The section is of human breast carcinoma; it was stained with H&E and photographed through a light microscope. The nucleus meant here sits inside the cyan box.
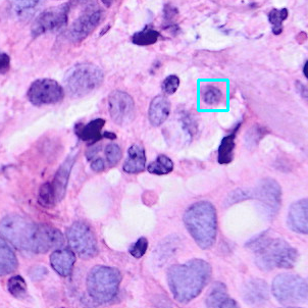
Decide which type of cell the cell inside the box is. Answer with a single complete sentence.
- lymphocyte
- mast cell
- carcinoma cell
In the tissue under study, the cell inside the box is a mast cell.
